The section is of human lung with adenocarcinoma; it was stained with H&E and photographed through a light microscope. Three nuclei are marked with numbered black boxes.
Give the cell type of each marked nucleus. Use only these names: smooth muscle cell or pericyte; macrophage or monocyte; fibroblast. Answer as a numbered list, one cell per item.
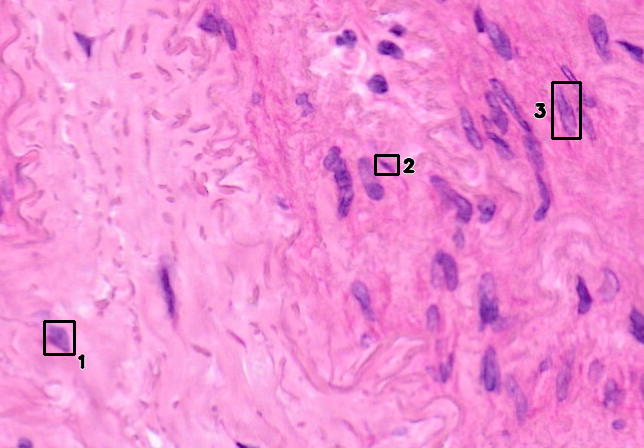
1. fibroblast
2. smooth muscle cell or pericyte
3. smooth muscle cell or pericyte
